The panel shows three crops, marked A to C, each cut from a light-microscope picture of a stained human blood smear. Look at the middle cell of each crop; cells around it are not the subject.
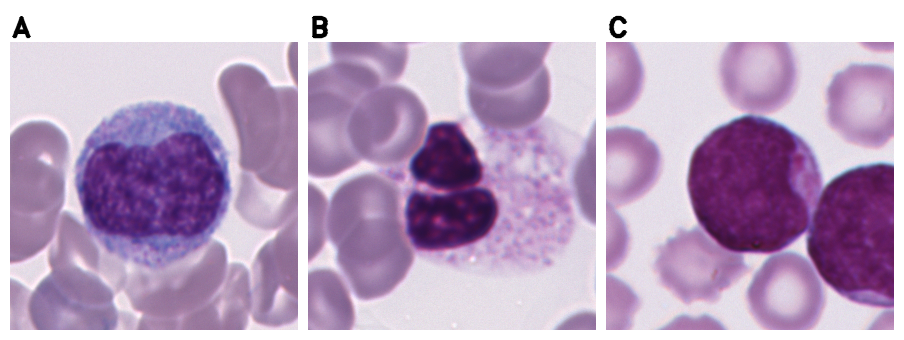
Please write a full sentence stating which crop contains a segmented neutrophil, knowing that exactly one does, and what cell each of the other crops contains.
With respect to crop B, the cell is a segmented neutrophil, whereas crop A is a monocyte and crop C is a myeloblast.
